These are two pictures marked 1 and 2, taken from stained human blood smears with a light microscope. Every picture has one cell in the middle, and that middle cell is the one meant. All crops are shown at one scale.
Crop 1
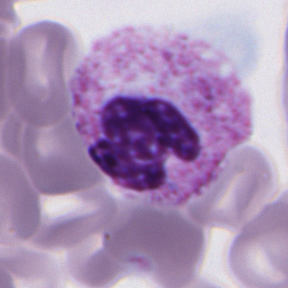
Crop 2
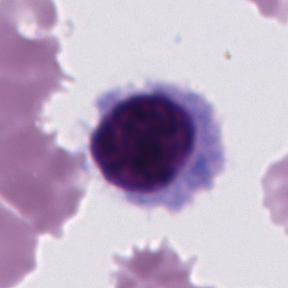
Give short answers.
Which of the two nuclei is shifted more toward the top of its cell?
2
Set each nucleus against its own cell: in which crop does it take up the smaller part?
1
